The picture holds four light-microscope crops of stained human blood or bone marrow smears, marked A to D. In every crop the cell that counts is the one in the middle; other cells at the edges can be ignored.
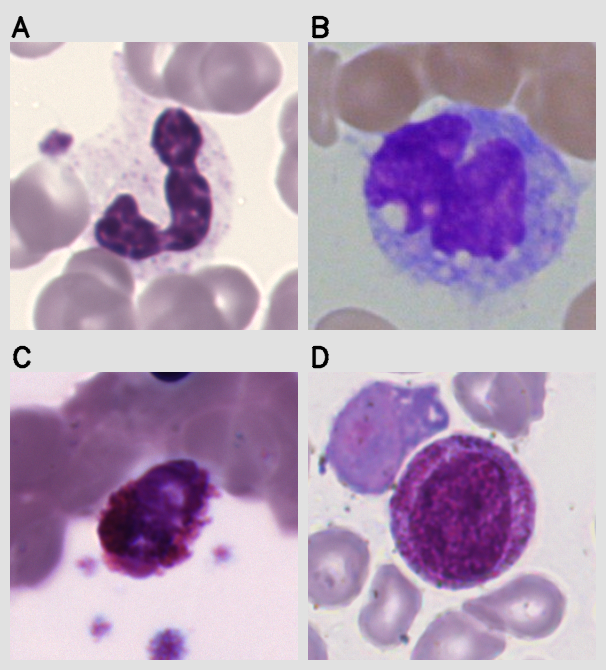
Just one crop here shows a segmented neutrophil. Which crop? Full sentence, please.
As for which crop shows a segmented neutrophil, it is crop A.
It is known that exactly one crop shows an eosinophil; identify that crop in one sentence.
The crop that has an eosinophil in the middle is crop C.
